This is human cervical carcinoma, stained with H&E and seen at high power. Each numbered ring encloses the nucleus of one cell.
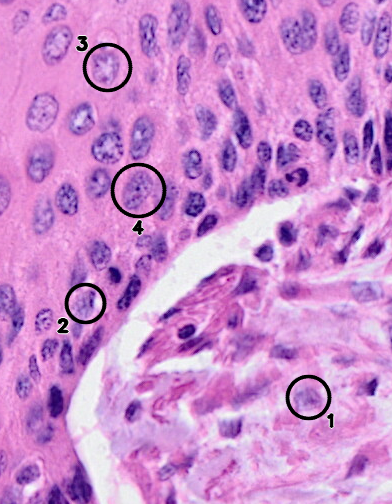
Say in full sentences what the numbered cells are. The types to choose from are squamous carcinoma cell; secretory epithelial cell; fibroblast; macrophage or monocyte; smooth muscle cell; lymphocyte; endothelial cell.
Cell 1 is a fibroblast. Cells 2, 3 and 4 are squamous carcinoma cells.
